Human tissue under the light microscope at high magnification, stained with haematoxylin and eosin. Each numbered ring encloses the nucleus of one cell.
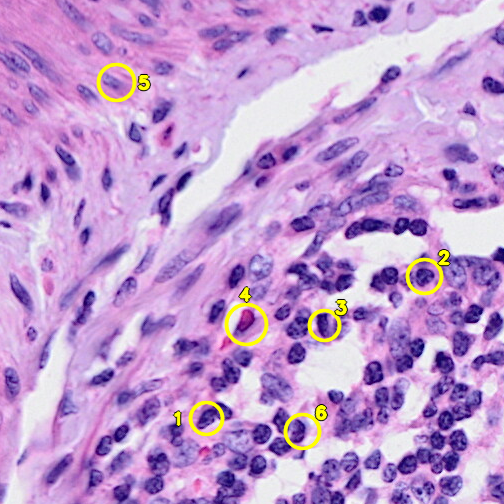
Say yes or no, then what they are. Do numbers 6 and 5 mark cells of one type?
No, cell 6 is a lymphocyte and cell 5 is a smooth muscle cell.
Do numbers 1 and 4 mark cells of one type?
No, cell 1 is a lymphocyte and cell 4 is an endothelial cell.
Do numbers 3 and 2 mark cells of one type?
Yes, both are lymphocytes.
